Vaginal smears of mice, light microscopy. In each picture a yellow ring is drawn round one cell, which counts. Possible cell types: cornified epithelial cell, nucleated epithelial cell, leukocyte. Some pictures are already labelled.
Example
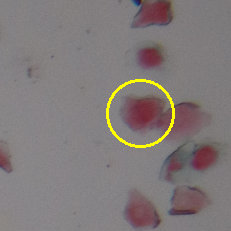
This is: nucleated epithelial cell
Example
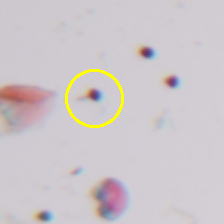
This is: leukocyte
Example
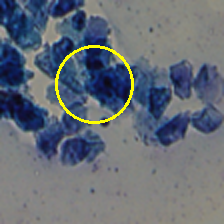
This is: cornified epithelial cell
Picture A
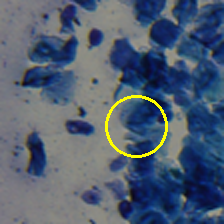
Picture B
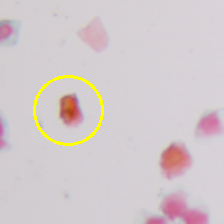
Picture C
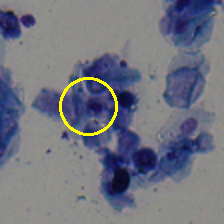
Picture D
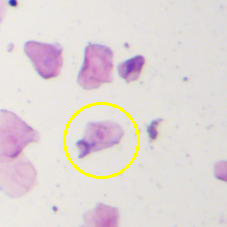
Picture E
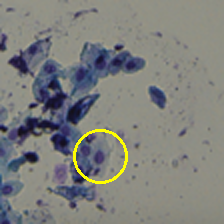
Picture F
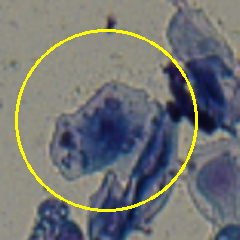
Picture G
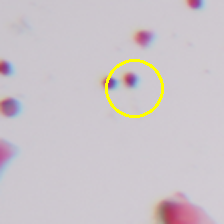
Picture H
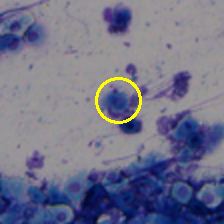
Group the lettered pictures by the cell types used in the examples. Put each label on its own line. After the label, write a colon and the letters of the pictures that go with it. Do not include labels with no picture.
cornified epithelial cell: A, B, D, F
nucleated epithelial cell: C, E, H
leukocyte: G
